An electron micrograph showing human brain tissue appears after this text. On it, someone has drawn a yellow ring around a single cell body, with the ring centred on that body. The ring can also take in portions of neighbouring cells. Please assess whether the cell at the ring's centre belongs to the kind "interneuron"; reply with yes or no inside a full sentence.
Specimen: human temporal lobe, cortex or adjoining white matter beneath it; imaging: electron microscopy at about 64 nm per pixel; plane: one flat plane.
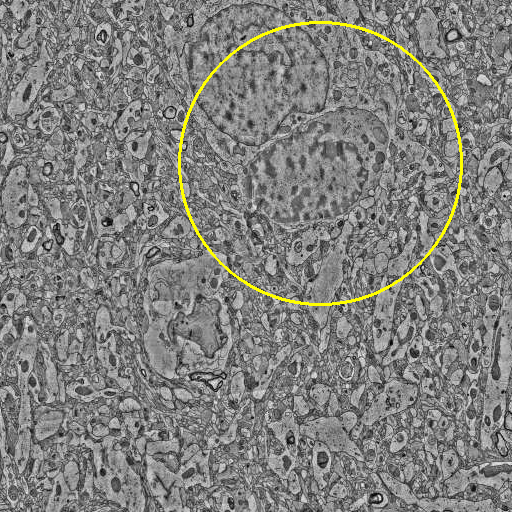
No, in this micrograph the cell at the centre of the ring is of another kind.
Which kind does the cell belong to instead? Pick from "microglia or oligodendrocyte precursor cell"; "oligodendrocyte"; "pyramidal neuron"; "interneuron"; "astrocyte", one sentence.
So the cell at the centre is an oligodendrocyte.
